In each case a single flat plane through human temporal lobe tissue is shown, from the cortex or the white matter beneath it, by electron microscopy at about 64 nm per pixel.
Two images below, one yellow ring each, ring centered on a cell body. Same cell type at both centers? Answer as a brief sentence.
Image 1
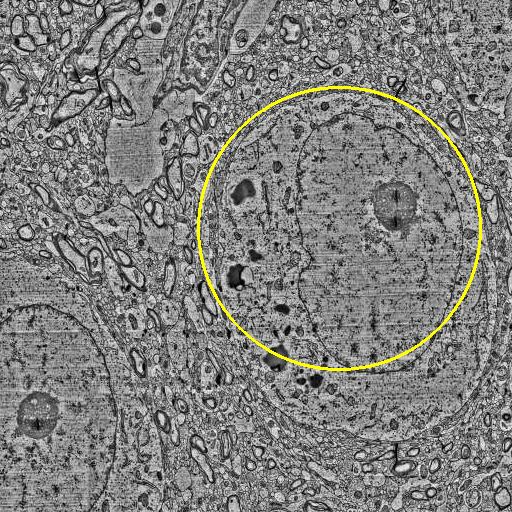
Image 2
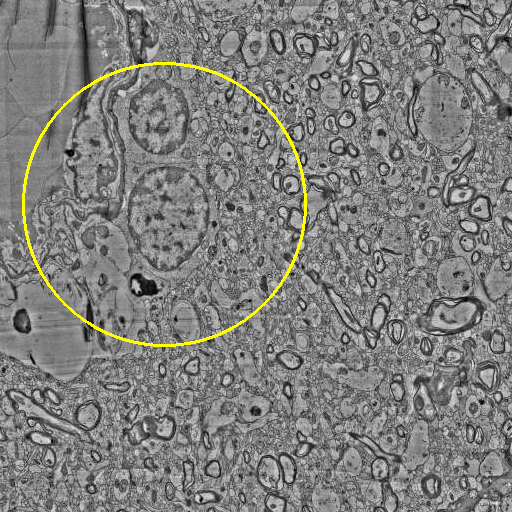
No, the cells are of two separate types.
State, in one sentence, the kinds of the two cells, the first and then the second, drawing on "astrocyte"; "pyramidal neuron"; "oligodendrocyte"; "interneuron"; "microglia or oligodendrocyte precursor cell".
The ring in the second picture is centred on an oligodendrocyte, the ring in the first on a pyramidal neuron.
